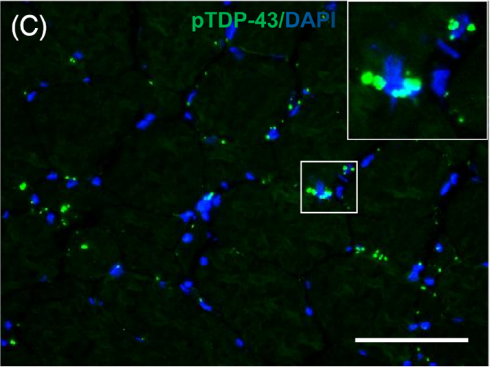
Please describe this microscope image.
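This is a fluorescence image of skeletal muscle fibers in cross-section, whose outlines appear faintly against a dark background. Blue nuclei lie at the edges of the fibers. Small bright green dots and clumps are scattered at the fiber margins, many close beside the blue nuclei. The enlarged inset shows one such cluster of green deposits gathered tightly around a nucleus.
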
